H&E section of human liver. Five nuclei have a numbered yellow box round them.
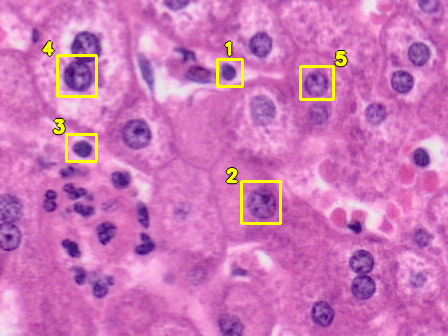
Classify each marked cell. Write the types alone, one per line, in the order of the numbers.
lymphocyte
hepatocyte
lymphocyte
hepatocyte
hepatocyte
